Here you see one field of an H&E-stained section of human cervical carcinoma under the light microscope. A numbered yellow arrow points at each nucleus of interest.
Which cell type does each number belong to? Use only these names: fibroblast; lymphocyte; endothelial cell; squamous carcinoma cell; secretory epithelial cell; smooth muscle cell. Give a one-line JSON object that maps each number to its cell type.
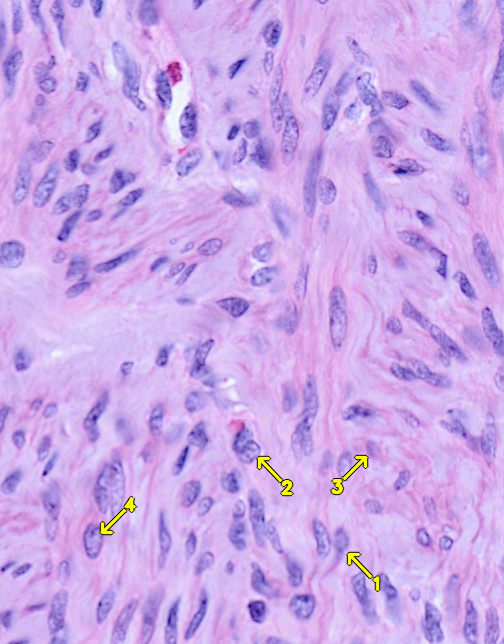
{"1": "smooth muscle cell", "2": "endothelial cell", "3": "smooth muscle cell", "4": "smooth muscle cell"}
